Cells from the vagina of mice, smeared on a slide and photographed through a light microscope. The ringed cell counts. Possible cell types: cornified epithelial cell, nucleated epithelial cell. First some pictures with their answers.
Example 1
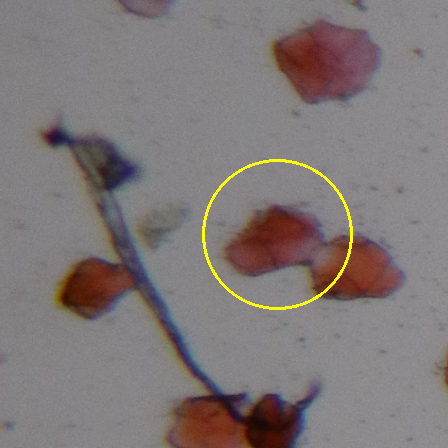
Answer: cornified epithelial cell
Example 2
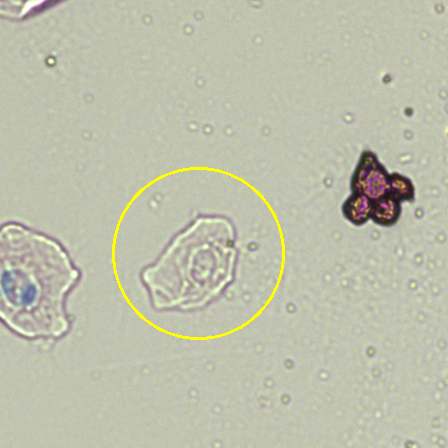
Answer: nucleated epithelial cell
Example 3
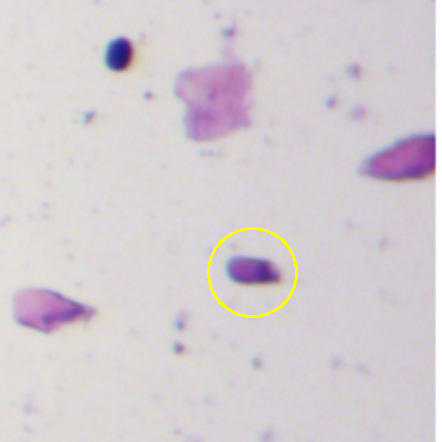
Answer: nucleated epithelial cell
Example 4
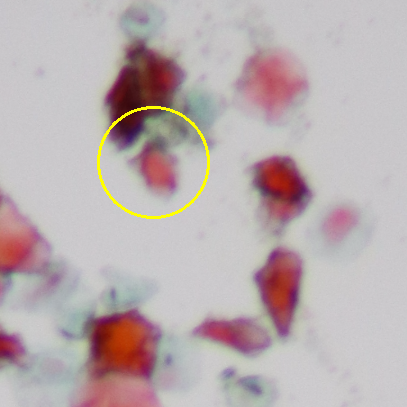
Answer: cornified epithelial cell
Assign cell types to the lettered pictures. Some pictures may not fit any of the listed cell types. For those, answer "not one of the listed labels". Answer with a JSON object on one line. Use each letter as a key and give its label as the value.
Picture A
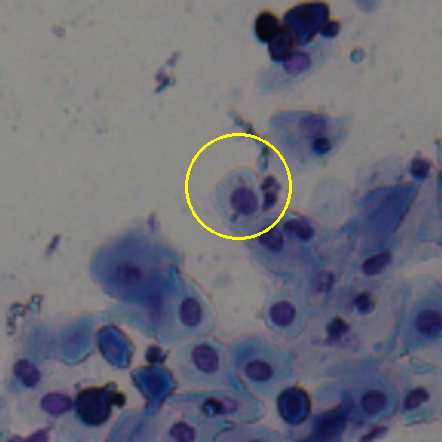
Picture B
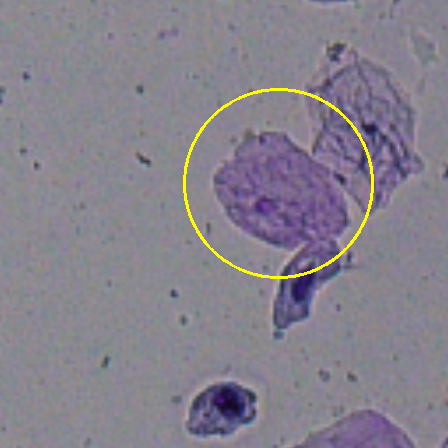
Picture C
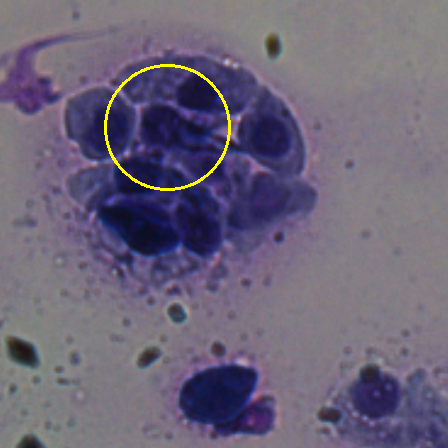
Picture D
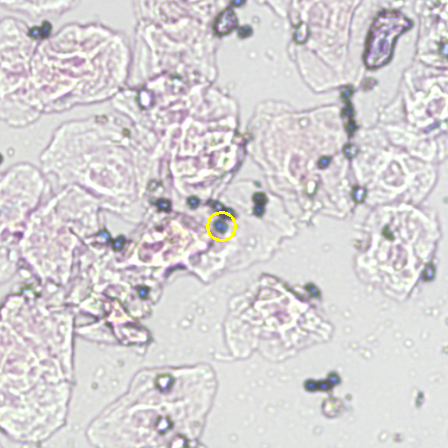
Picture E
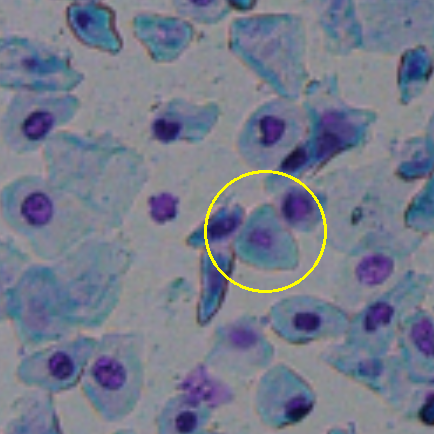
{"A": "nucleated epithelial cell", "B": "cornified epithelial cell", "C": "nucleated epithelial cell", "D": "not one of the listed labels", "E": "nucleated epithelial cell"}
